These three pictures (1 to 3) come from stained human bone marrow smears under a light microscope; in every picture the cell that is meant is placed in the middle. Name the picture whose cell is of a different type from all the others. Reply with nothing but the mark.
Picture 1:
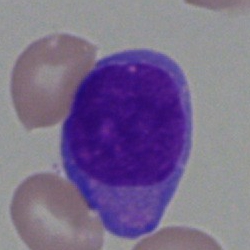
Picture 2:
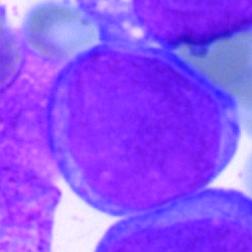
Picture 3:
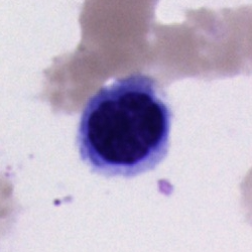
3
